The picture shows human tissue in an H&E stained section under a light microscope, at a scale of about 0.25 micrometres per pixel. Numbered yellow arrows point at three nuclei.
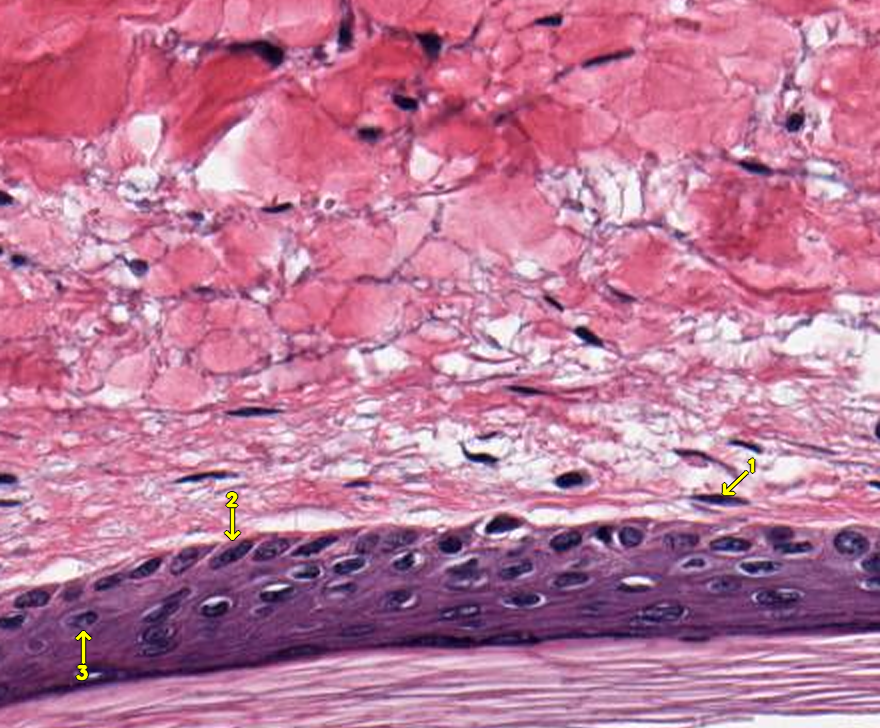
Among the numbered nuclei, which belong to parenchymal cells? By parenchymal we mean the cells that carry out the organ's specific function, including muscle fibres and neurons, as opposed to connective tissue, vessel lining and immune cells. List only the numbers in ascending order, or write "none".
2, 3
